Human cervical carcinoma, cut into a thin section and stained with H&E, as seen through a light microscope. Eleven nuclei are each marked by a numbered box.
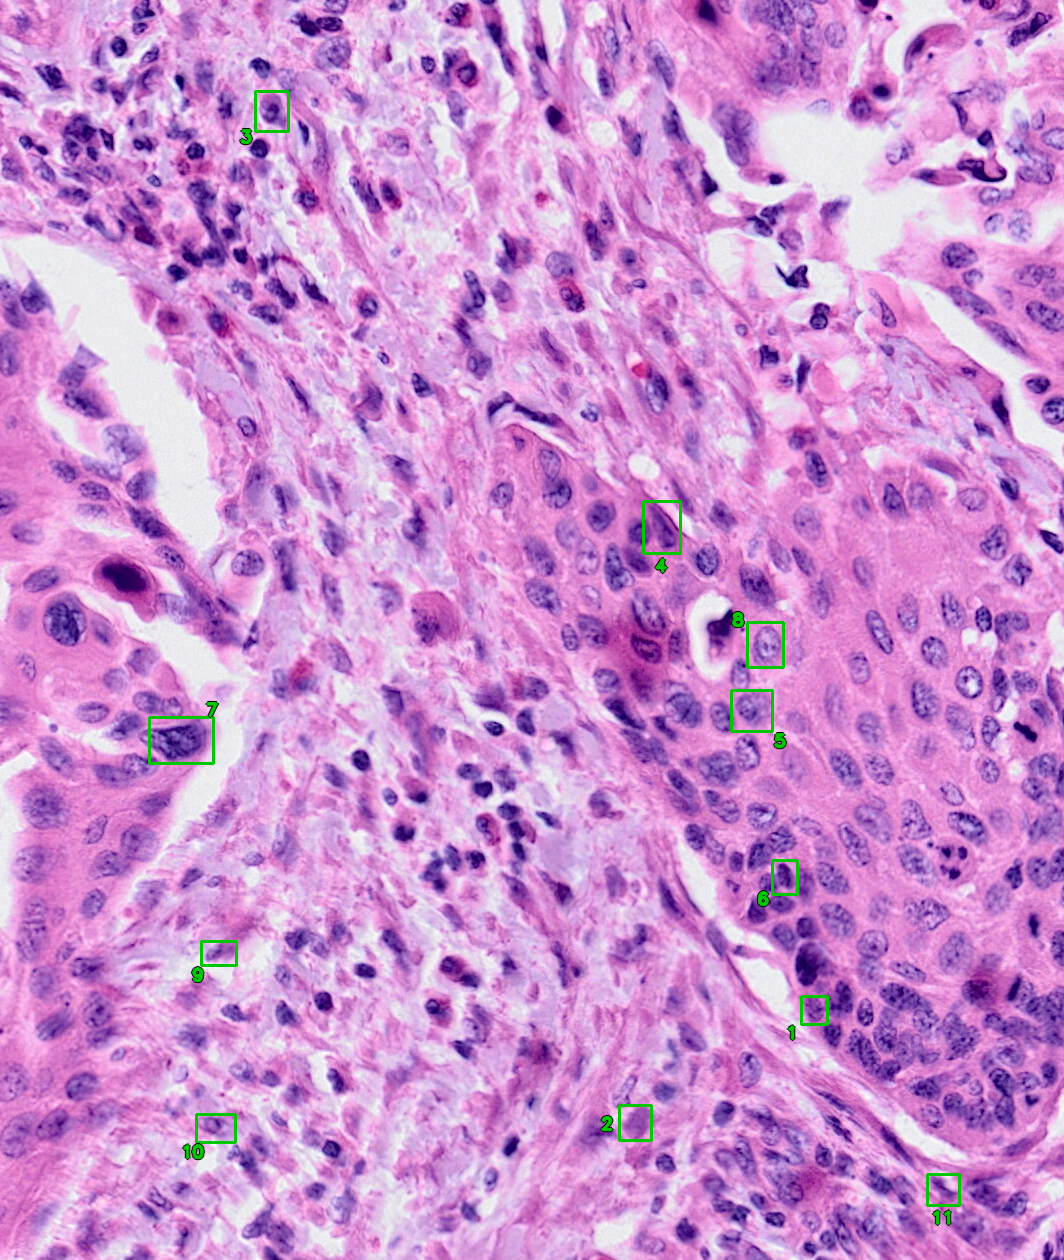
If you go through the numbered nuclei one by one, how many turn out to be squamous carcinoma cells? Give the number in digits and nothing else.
6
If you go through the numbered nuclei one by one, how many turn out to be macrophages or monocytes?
1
